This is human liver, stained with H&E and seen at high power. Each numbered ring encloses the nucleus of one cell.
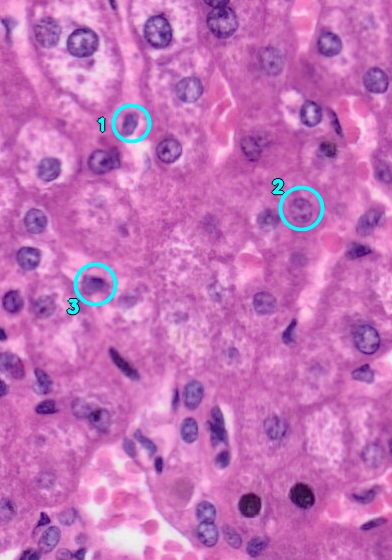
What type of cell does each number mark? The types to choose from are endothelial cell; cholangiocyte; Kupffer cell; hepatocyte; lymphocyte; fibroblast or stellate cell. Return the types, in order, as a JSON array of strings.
["lymphocyte", "hepatocyte", "endothelial cell"]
